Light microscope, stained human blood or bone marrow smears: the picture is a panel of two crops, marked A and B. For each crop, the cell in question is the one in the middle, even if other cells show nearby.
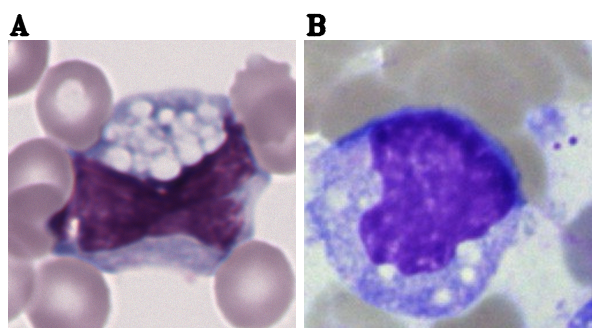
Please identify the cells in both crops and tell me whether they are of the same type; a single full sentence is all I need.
Yes, with regard to both crops, the central cells are monocytes.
